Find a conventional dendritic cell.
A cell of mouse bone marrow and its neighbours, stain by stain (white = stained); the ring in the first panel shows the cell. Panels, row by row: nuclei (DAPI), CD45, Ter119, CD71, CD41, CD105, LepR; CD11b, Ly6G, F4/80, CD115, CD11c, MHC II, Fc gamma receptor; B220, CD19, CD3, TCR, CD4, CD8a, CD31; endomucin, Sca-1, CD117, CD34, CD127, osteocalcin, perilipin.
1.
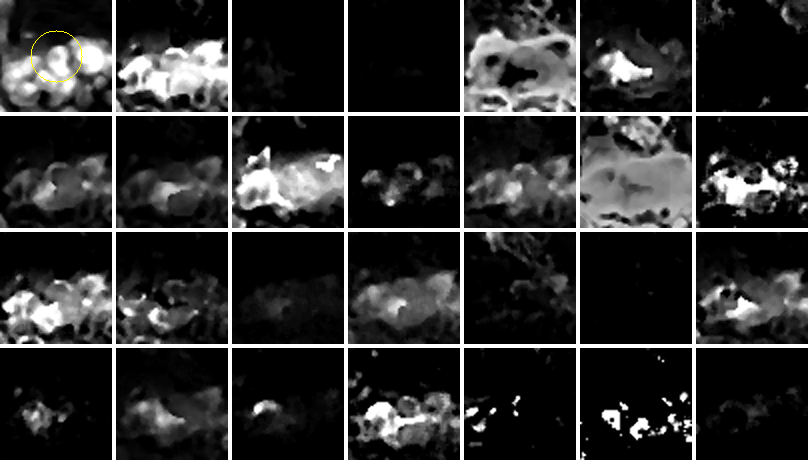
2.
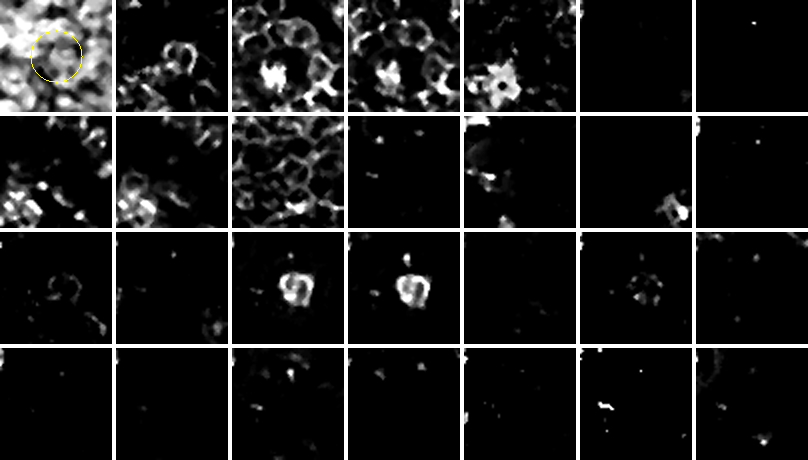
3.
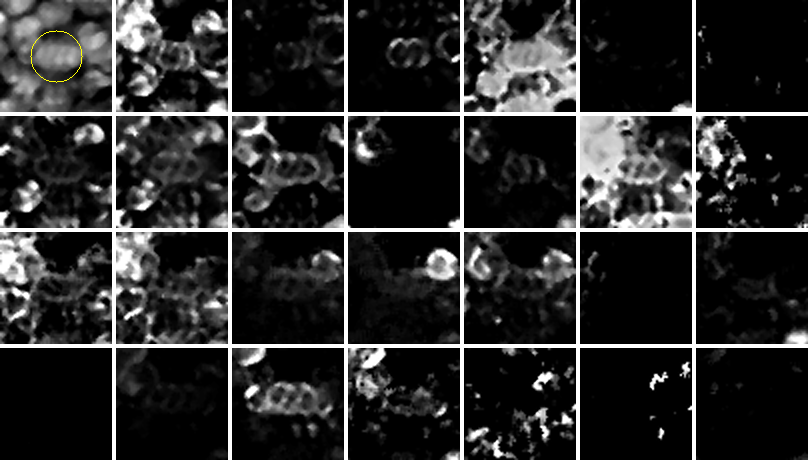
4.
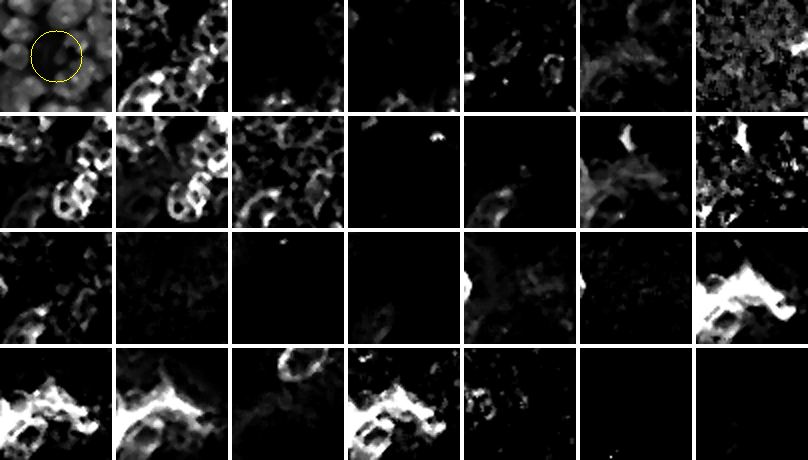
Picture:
1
